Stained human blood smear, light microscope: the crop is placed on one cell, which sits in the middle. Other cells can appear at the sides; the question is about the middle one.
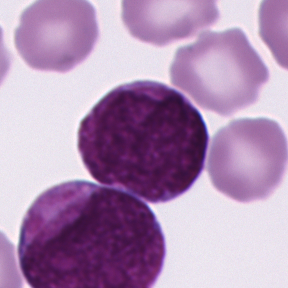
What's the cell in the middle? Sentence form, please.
The cell featured at the centre of this crop is a blast.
